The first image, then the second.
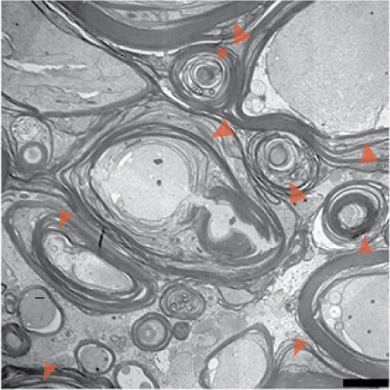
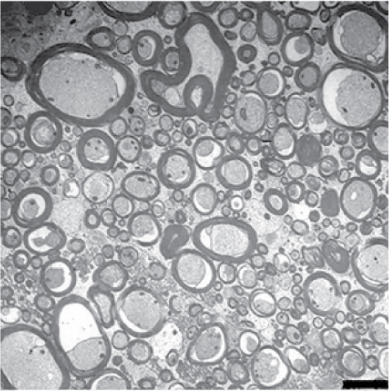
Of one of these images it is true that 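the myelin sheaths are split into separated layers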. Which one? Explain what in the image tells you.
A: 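First image: dark sheaths around large axons are split into several loose concentric layers with pale gaps. Second image: dark rings around axons are compact and uniform. That points to this answer: the first image.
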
